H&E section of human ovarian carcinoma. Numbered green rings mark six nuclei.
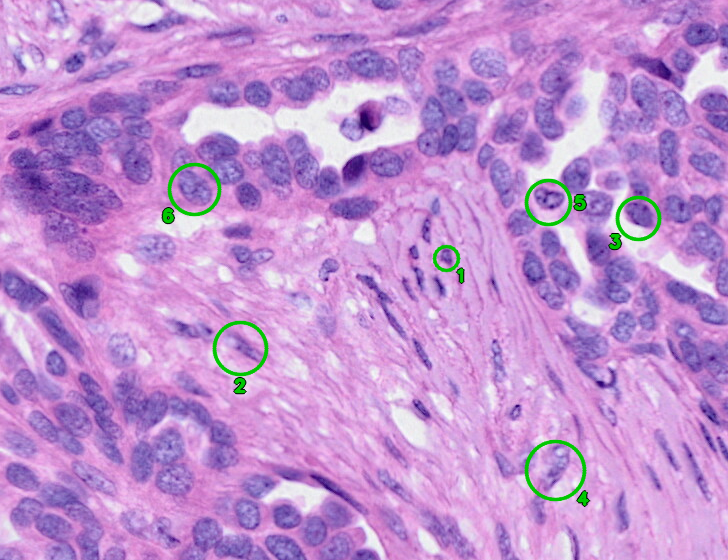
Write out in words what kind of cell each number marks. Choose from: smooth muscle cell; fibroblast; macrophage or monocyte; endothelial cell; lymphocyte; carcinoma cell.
Cells 1, 2 and 4 are fibroblasts. Cells 3 and 6 are carcinoma cells. Cell 5 is a macrophage or monocyte.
